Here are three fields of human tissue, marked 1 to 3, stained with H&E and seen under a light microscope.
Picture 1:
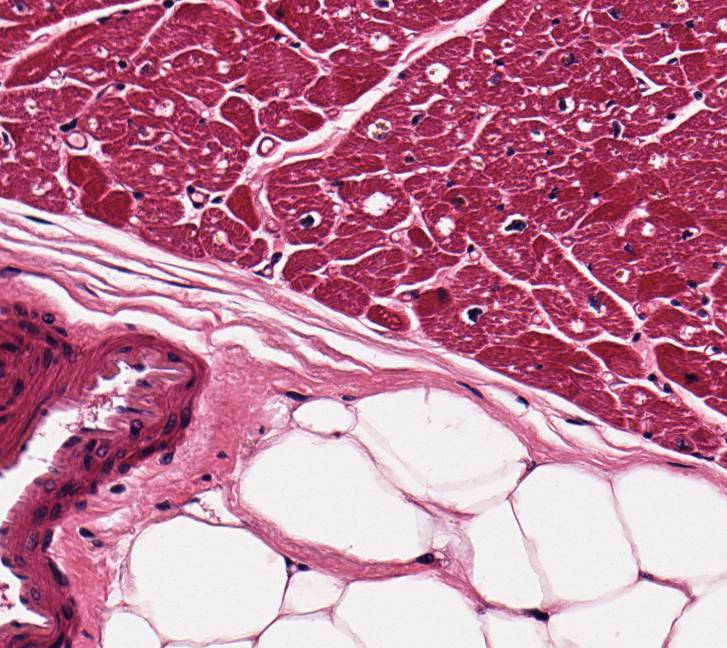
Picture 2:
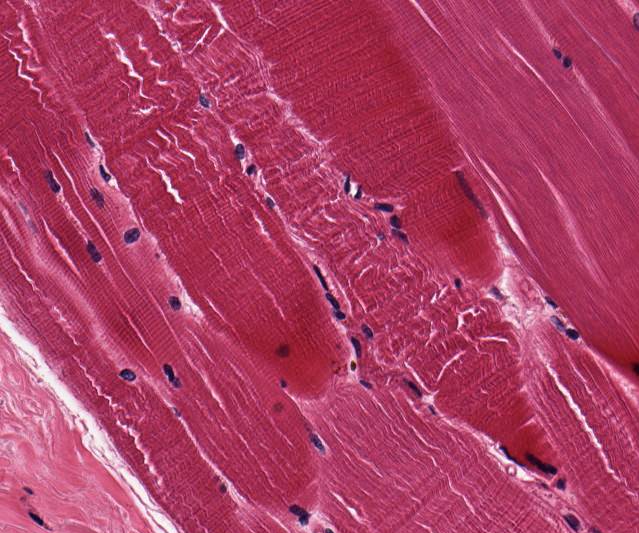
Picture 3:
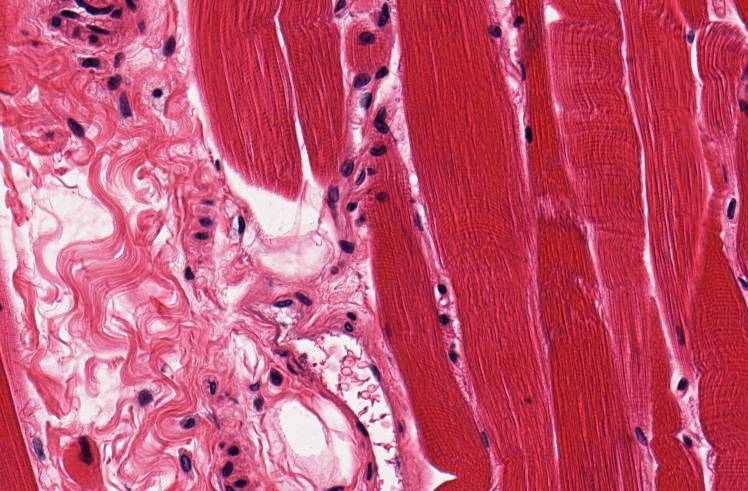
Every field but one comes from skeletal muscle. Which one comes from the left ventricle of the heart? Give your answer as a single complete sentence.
Picture 1 comes from the left ventricle of the heart.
